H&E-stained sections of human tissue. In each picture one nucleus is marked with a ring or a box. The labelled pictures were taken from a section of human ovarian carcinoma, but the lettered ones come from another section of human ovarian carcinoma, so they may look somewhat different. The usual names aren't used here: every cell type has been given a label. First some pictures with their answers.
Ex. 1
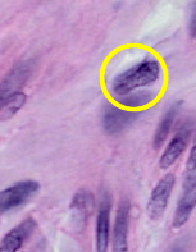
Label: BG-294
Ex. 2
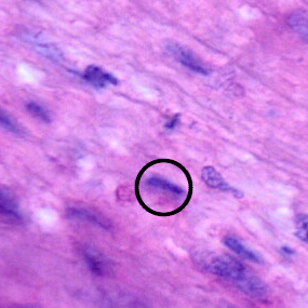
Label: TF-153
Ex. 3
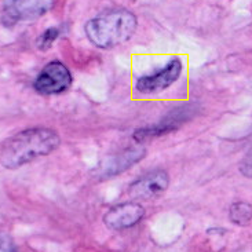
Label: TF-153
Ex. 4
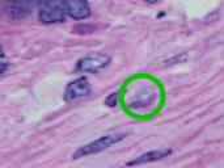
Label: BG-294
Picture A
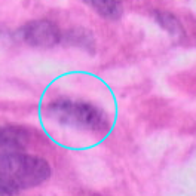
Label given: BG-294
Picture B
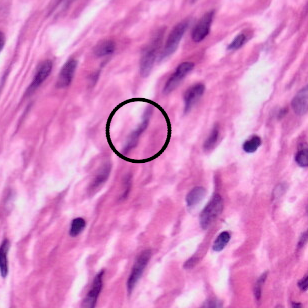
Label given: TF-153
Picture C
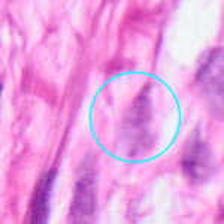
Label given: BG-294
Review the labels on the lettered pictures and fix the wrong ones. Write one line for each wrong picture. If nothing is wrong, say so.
B should be BG-294, not TF-153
